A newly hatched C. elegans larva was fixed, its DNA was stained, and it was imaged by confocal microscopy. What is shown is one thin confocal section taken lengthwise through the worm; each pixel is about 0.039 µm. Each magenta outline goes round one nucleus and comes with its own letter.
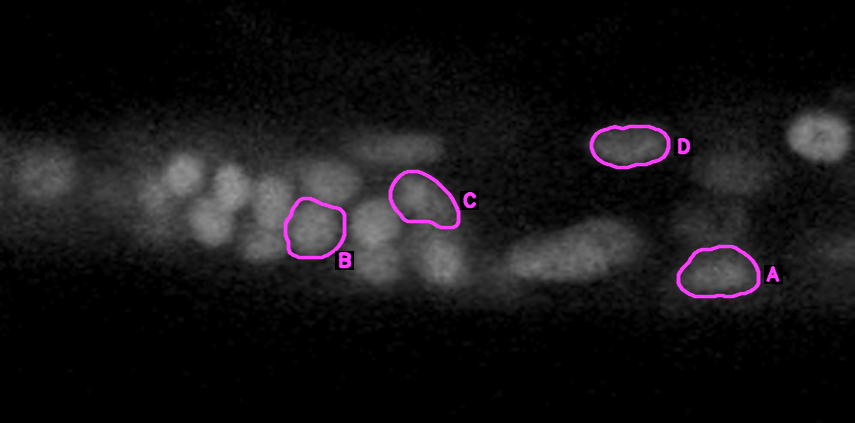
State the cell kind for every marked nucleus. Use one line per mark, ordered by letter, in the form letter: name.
A: body wall muscle cell
B: neuron
C: valve cell of the gut
D: body wall muscle cell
